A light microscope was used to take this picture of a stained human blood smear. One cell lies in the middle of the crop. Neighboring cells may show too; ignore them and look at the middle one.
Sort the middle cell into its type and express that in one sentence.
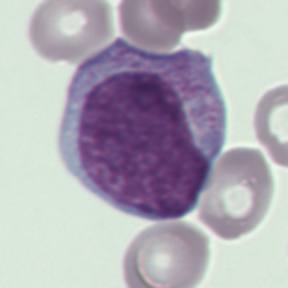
The cell sitting right in the middle is an atypical promyelocyte.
